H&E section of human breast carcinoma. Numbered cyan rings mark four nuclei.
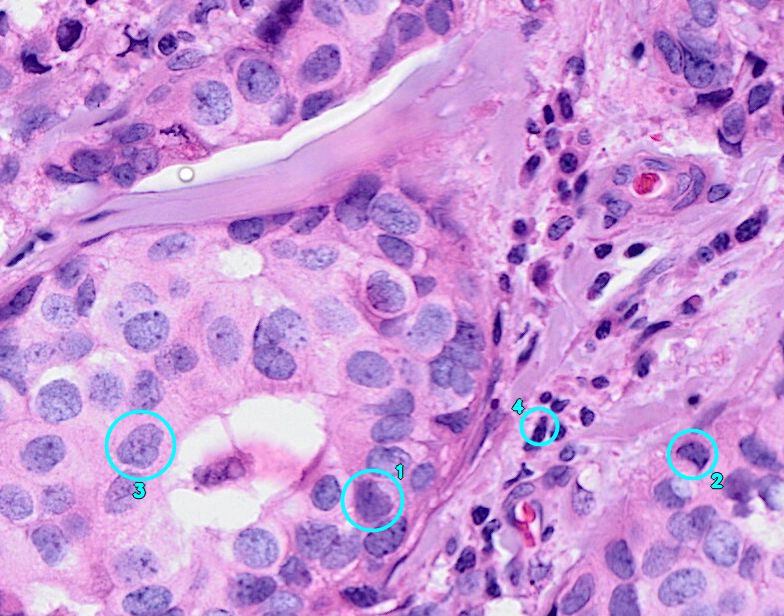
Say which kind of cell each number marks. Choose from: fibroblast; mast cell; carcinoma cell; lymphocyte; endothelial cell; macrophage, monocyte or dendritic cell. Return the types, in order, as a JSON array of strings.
["carcinoma cell", "carcinoma cell", "carcinoma cell", "lymphocyte"]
